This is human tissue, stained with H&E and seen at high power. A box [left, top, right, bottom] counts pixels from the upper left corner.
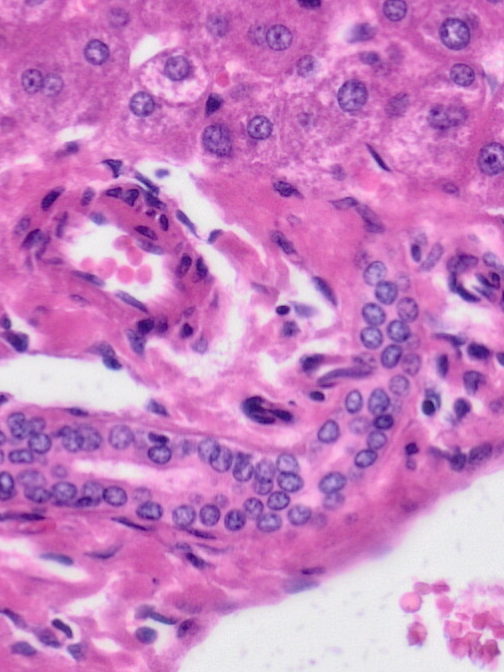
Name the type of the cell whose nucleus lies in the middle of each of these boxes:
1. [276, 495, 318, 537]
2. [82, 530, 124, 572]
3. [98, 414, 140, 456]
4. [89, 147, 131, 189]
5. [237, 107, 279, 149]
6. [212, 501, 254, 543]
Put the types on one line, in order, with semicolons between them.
cholangiocyte; fibroblast or stellate cell; cholangiocyte; fibroblast or stellate cell; hepatocyte; cholangiocyte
